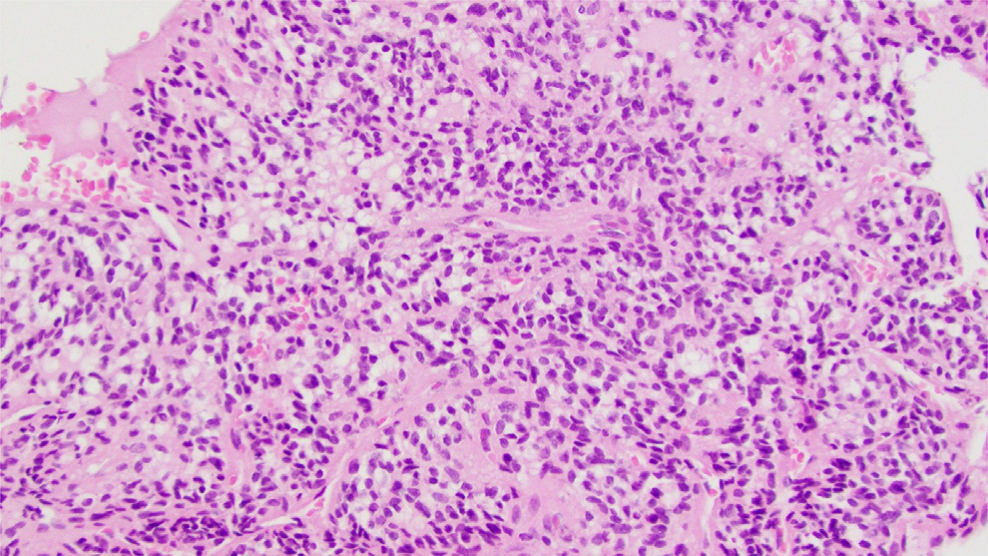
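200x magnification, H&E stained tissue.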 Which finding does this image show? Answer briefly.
Spindled to ovoid.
